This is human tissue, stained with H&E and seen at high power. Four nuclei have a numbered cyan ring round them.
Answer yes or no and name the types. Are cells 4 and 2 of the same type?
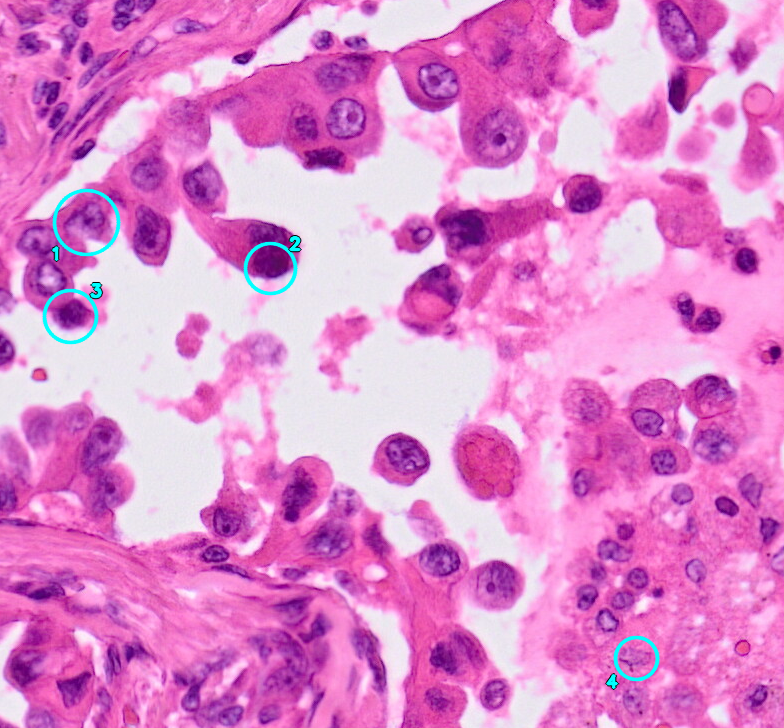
No, cell 4 here is a macrophage or monocyte and cell 2 here is a carcinoma cell.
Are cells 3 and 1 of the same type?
Yes, cells 3 and 1 are both identified as carcinoma cells.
